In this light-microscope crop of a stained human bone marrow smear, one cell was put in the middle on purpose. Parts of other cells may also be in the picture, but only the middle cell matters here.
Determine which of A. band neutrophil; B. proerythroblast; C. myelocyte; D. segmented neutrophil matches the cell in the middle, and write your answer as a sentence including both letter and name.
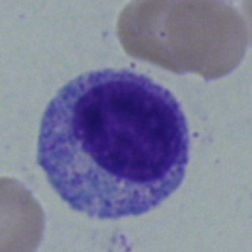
Here the central cell is a myelocyte, and option C is correct.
